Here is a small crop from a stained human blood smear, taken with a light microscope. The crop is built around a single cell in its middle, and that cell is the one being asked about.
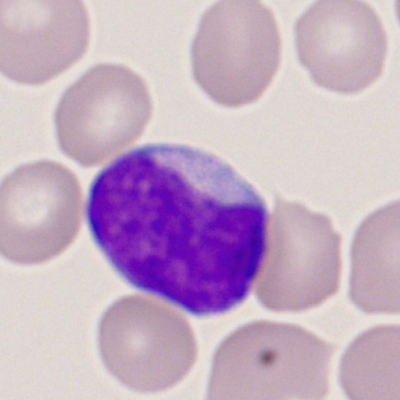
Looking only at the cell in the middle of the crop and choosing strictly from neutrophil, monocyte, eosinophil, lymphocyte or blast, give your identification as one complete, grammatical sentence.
The cell nearest the centre of this crop is a blast.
